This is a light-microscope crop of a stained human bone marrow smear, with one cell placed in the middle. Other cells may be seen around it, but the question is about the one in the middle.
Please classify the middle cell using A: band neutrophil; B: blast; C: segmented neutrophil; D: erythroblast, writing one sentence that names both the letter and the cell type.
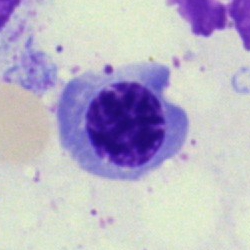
The cell centered in the crop is an erythroblast, making option D the correct pick.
